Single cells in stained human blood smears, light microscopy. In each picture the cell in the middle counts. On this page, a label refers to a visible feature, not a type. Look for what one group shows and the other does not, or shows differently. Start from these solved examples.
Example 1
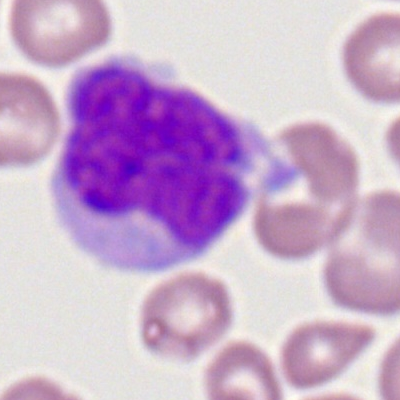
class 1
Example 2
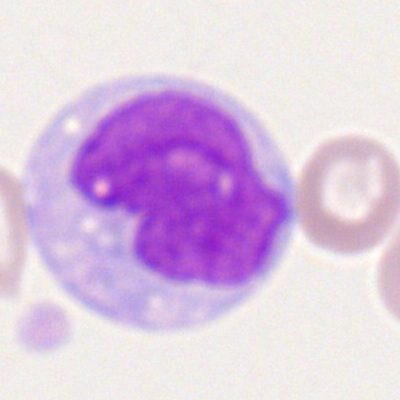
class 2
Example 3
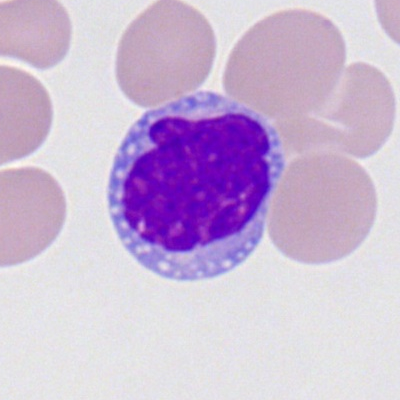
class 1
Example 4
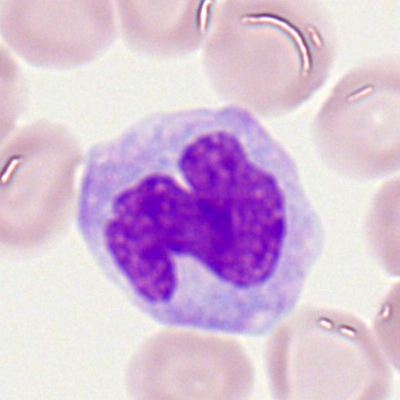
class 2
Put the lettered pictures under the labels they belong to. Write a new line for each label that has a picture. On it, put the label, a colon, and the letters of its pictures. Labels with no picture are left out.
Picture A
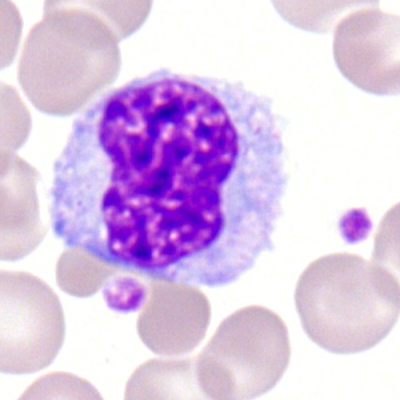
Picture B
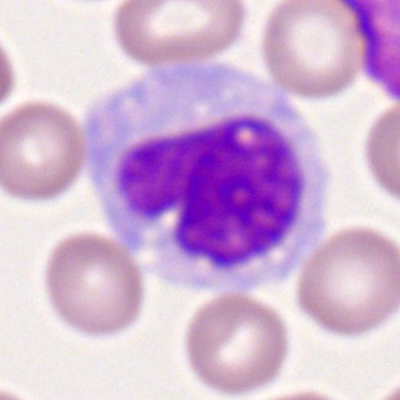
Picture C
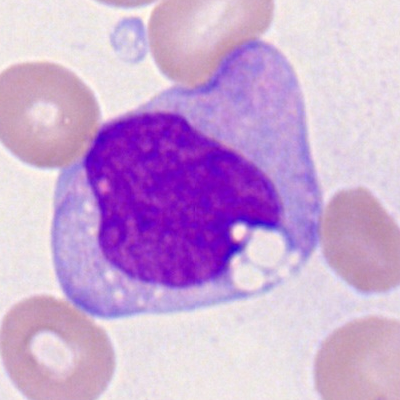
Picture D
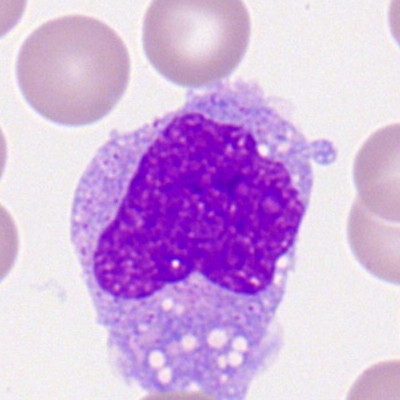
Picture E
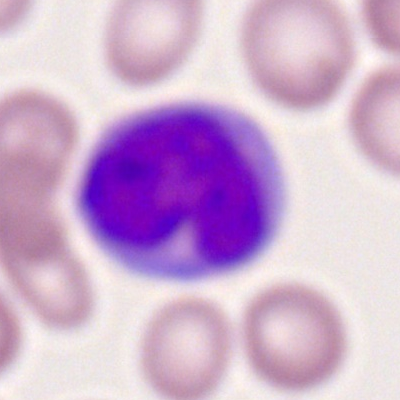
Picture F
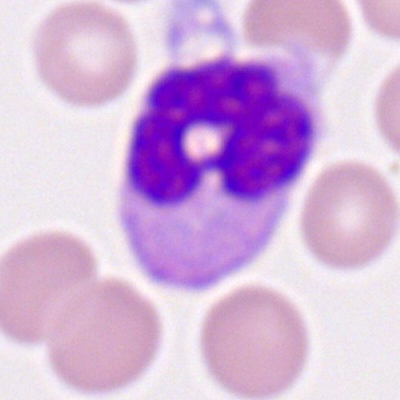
class 1: E
class 2: A, B, C, D, F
